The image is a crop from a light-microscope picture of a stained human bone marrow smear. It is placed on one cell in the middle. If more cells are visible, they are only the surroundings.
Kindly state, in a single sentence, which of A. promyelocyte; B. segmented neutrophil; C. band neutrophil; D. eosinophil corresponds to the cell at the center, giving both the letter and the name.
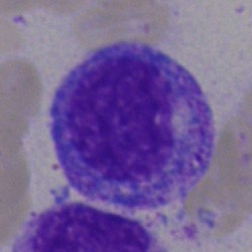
Identification: the cell in the middle is a promyelocyte, matching option A.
